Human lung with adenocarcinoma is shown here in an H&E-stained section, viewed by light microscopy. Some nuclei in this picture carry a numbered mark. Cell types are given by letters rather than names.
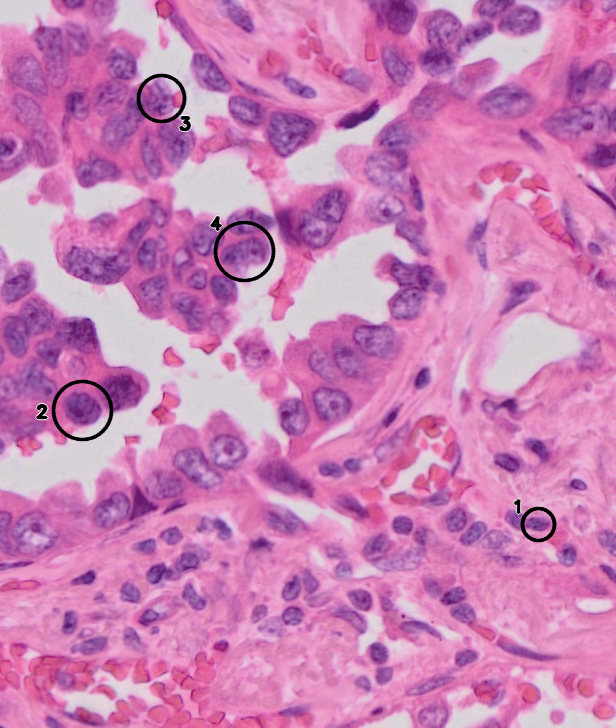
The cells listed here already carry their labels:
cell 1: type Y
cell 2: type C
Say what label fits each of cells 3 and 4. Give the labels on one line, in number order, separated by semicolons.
type C; type C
